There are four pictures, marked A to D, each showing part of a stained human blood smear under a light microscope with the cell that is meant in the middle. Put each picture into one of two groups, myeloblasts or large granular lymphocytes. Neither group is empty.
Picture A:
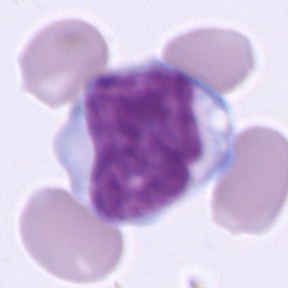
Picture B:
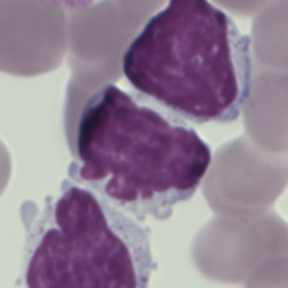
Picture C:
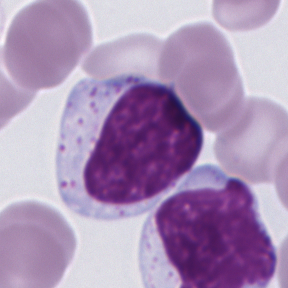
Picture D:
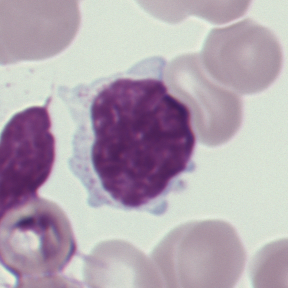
A: myeloblast
B: large granular lymphocyte
C: large granular lymphocyte
D: large granular lymphocyte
